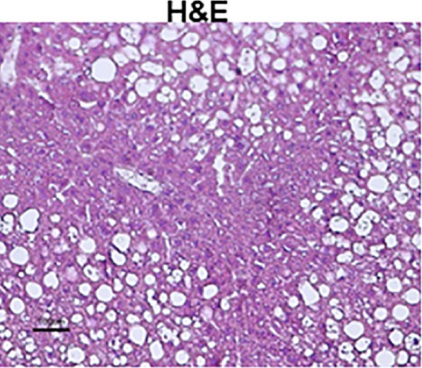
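This is liver tissue made of hepatocytes, with a large part of the tissue taken up by clear fat vacuoles. The hepatocytes have pink cytoplasm and small round purple nuclei and are arranged around small vessels. Many round, empty-looking vacuoles of very different sizes lie in the cytoplasm, some small and some much larger than a nucleus. The vacuoles are most crowded toward the edges of the field, while the area around the central vessels is more compact and pink. Overall the normal even texture of the parenchyma is broken up by these clear spaces.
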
